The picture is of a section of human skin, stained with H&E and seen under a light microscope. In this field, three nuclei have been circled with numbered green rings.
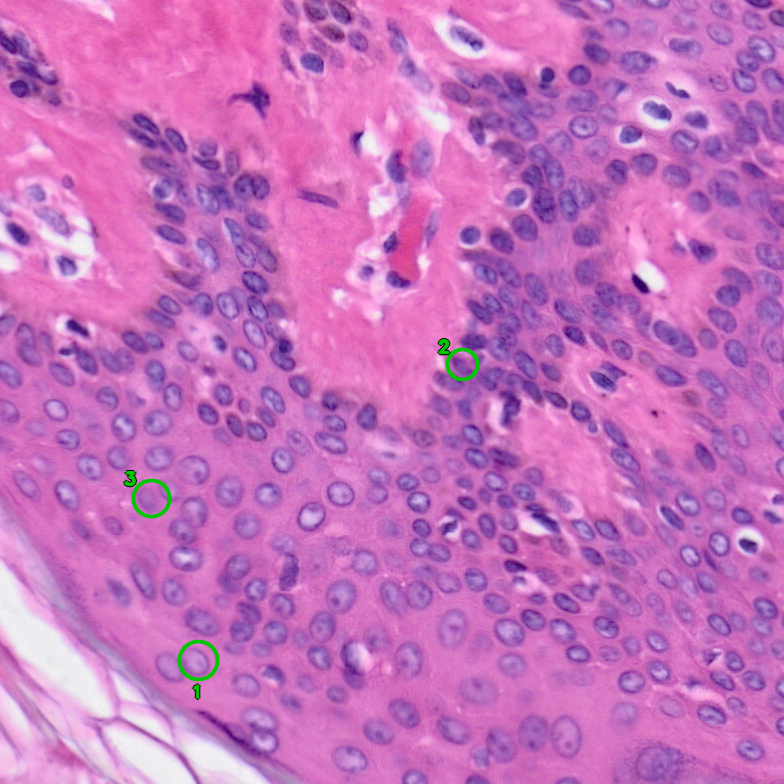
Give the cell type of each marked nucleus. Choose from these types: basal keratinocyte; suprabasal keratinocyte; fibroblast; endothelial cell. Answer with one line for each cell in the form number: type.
1: suprabasal keratinocyte
2: basal keratinocyte
3: suprabasal keratinocyte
